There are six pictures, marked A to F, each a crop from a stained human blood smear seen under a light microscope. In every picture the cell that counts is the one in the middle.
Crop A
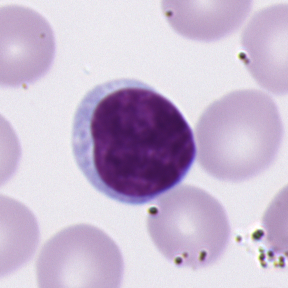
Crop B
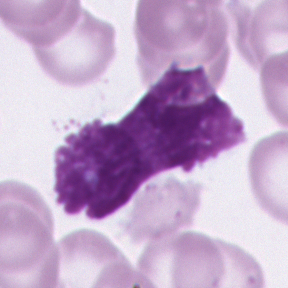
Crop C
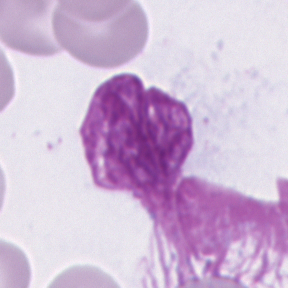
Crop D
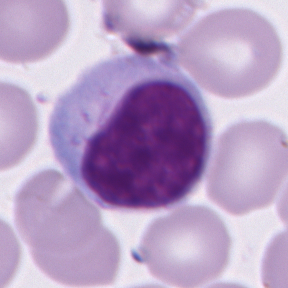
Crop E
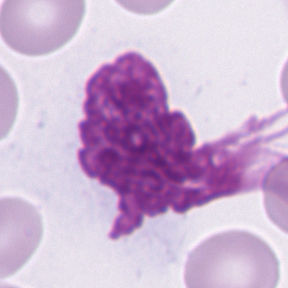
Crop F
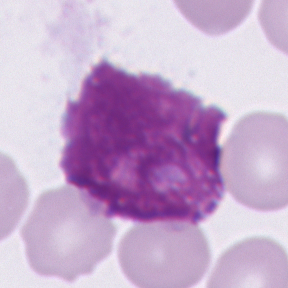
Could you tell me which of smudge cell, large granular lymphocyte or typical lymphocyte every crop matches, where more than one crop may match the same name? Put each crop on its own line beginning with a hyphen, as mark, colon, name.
- A: typical lymphocyte
- B: smudge cell
- C: smudge cell
- D: large granular lymphocyte
- E: smudge cell
- F: smudge cell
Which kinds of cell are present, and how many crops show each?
smudge cell: 4
typical lymphocyte: 1
large granular lymphocyte: 1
